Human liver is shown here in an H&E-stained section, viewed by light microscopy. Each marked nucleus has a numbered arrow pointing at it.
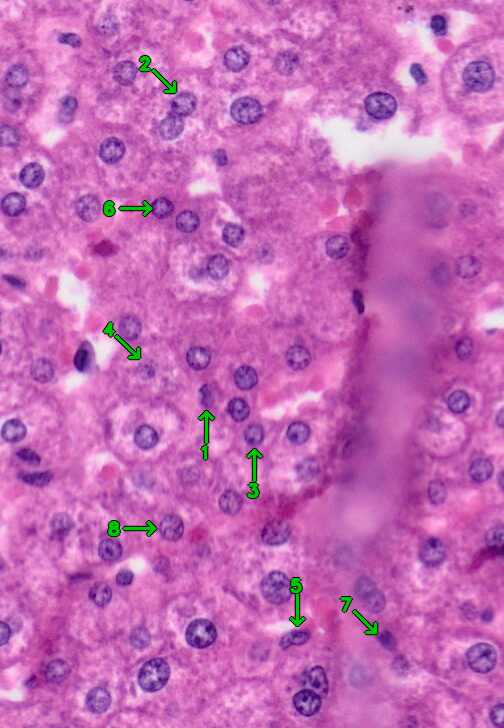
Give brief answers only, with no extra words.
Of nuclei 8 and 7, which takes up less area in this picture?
7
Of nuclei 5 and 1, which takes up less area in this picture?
1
